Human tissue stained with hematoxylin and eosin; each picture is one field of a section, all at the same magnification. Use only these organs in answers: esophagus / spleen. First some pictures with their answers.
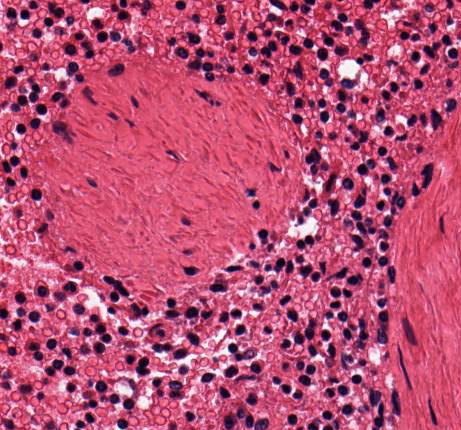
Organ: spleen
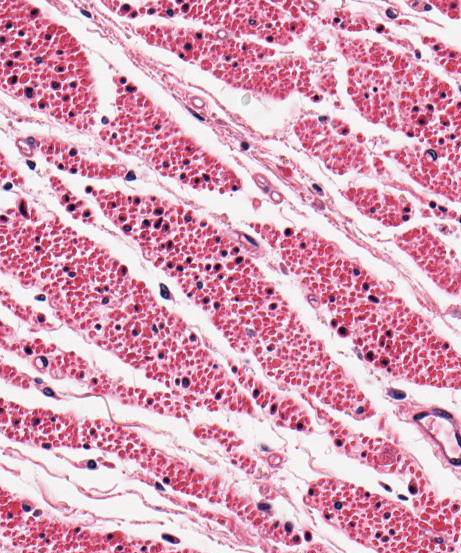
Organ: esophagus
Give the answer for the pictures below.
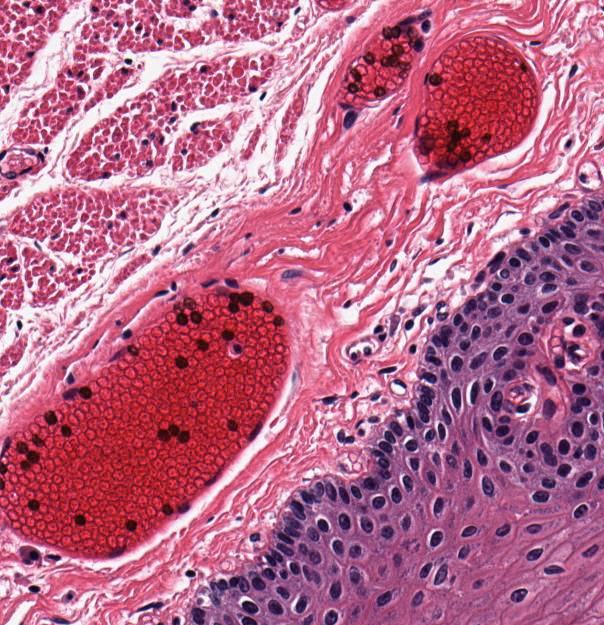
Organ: esophagus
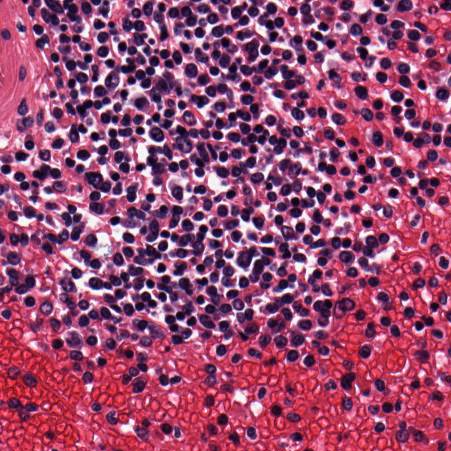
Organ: spleen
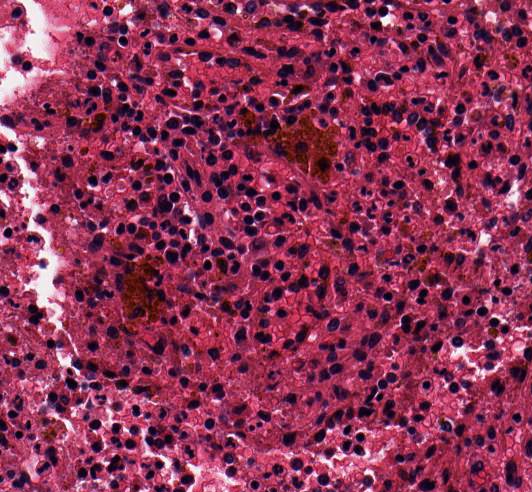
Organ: spleen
